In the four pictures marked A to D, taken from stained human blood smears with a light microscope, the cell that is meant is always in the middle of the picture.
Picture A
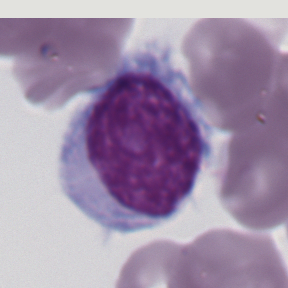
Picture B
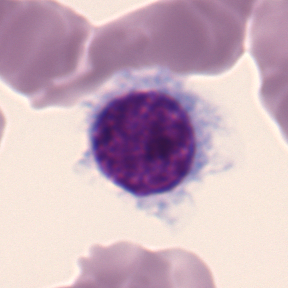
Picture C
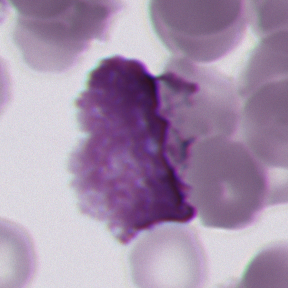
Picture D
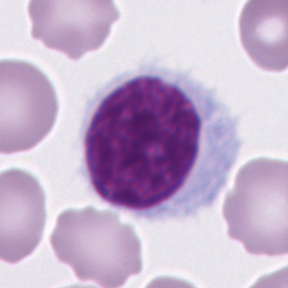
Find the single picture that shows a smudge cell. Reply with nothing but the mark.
C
